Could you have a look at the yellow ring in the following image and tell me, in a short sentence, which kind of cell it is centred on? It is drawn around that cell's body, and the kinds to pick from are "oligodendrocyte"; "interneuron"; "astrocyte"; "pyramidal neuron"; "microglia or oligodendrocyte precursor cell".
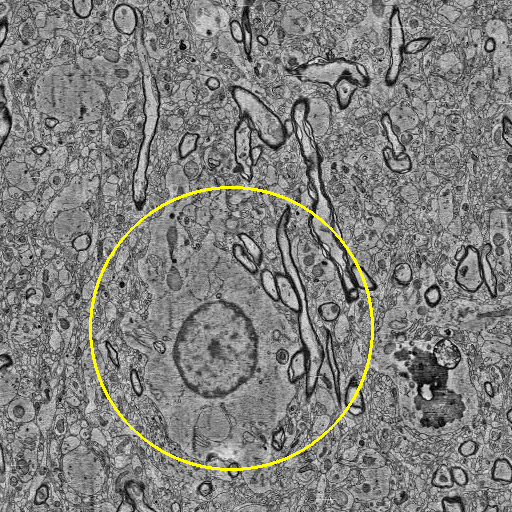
The ring is centred on the body of an astrocyte.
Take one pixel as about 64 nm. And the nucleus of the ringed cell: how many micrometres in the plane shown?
In this plane the nucleus is about 6 micrometres by 5.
